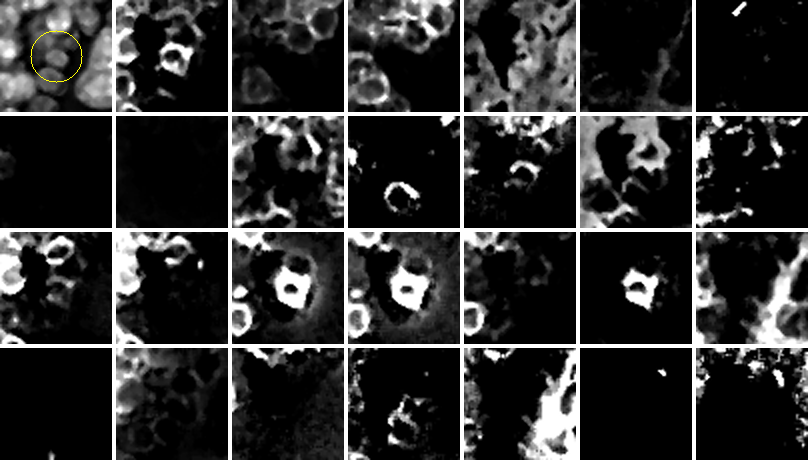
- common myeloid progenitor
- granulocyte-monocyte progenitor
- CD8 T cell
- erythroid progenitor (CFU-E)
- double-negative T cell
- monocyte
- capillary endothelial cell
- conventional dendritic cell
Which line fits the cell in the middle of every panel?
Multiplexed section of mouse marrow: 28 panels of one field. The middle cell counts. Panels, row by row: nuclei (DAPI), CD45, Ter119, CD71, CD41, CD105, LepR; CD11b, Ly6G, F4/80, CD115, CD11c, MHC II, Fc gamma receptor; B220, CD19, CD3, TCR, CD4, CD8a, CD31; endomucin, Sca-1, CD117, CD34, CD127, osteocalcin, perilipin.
CD8 T cell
